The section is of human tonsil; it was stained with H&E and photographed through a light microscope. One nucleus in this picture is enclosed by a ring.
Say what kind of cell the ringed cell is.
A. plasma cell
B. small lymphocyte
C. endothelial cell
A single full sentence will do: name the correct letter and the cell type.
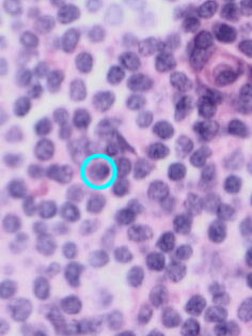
Option B gets it right: the ringed cell is a small lymphocyte.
